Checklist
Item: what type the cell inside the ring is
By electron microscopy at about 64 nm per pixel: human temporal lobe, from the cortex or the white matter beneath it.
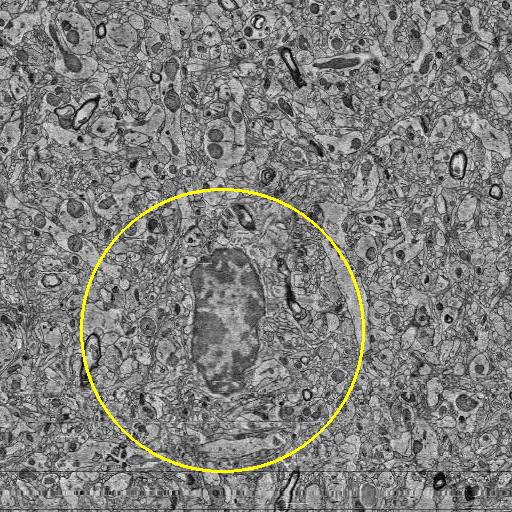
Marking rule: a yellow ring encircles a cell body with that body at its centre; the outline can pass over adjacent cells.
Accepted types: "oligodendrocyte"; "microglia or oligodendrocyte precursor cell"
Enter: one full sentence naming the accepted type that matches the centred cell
The entry is that a microglial cell or oligodendrocyte precursor cell lies at the centre of the yellow ring.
